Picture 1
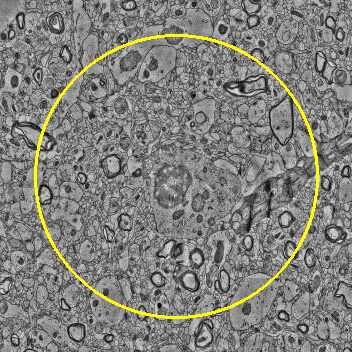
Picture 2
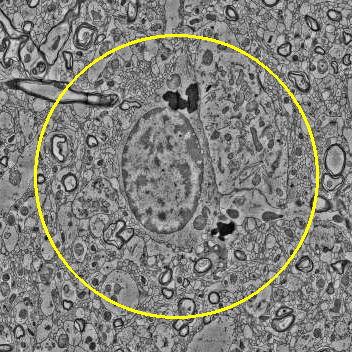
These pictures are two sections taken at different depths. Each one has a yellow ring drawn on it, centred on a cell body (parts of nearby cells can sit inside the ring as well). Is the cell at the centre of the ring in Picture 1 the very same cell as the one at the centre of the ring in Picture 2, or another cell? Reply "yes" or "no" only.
yes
